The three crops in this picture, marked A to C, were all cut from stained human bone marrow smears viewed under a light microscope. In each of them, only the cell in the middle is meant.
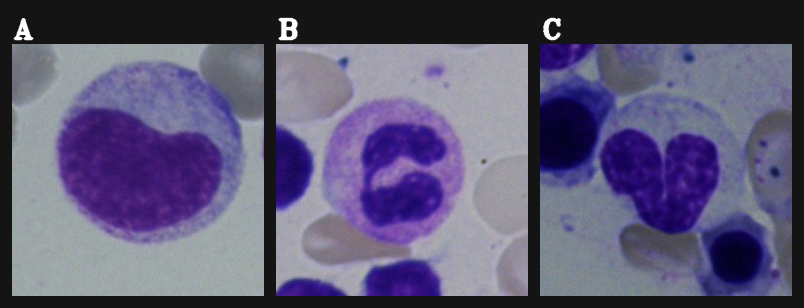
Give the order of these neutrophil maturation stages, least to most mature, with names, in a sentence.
In ascending order of maturity, the sequence is crop A (a metamyelocyte), crop C (a band neutrophil) and crop B (a segmented neutrophil).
